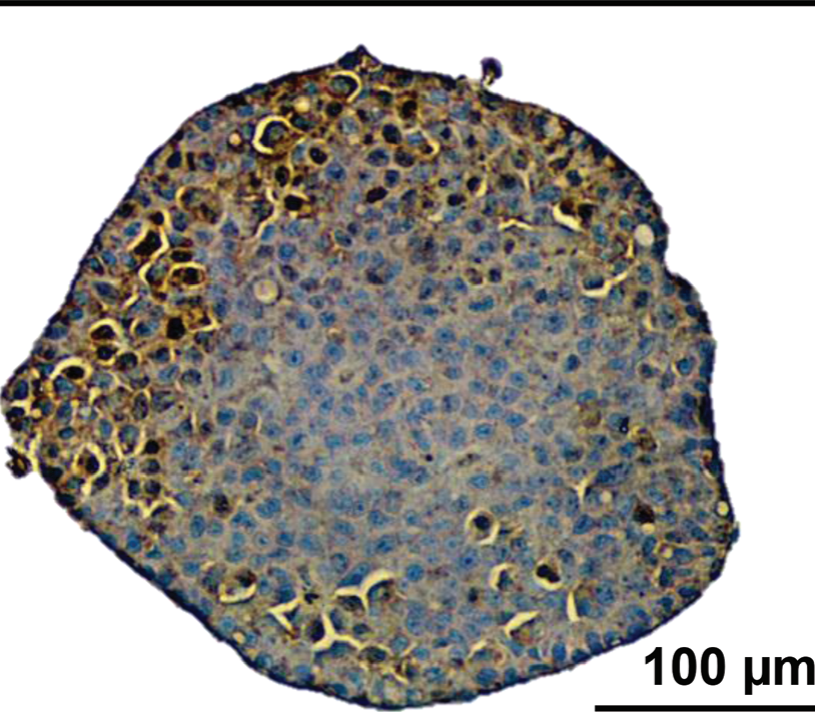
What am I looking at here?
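A roughly round section of a compact multicellular spheroid packed with polygonal cells, each with one rounded blue nucleus and pale grey-blue cytoplasm. The cells lie closely side by side with no lumen or obvious layering. Brown staining is not even: it is gathered in cells near the outer rim, in patches on the upper left, left and lower edges, where some cells are strongly brown and outlined by bright gaps, while the centre of the section stays mostly blue and unstained.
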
